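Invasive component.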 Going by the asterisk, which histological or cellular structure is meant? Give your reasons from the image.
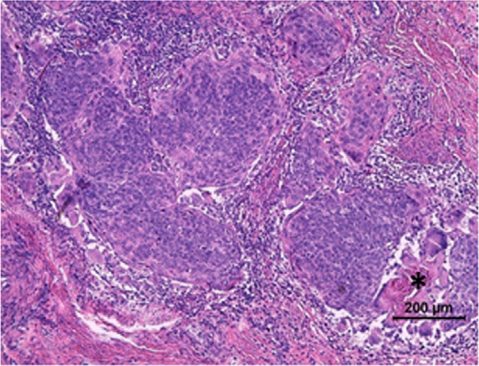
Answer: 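The asterisk lies on a rounded pink eosinophilic body at the lower right. Large cells with several nuclei lie around it. So: Keratin pearls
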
